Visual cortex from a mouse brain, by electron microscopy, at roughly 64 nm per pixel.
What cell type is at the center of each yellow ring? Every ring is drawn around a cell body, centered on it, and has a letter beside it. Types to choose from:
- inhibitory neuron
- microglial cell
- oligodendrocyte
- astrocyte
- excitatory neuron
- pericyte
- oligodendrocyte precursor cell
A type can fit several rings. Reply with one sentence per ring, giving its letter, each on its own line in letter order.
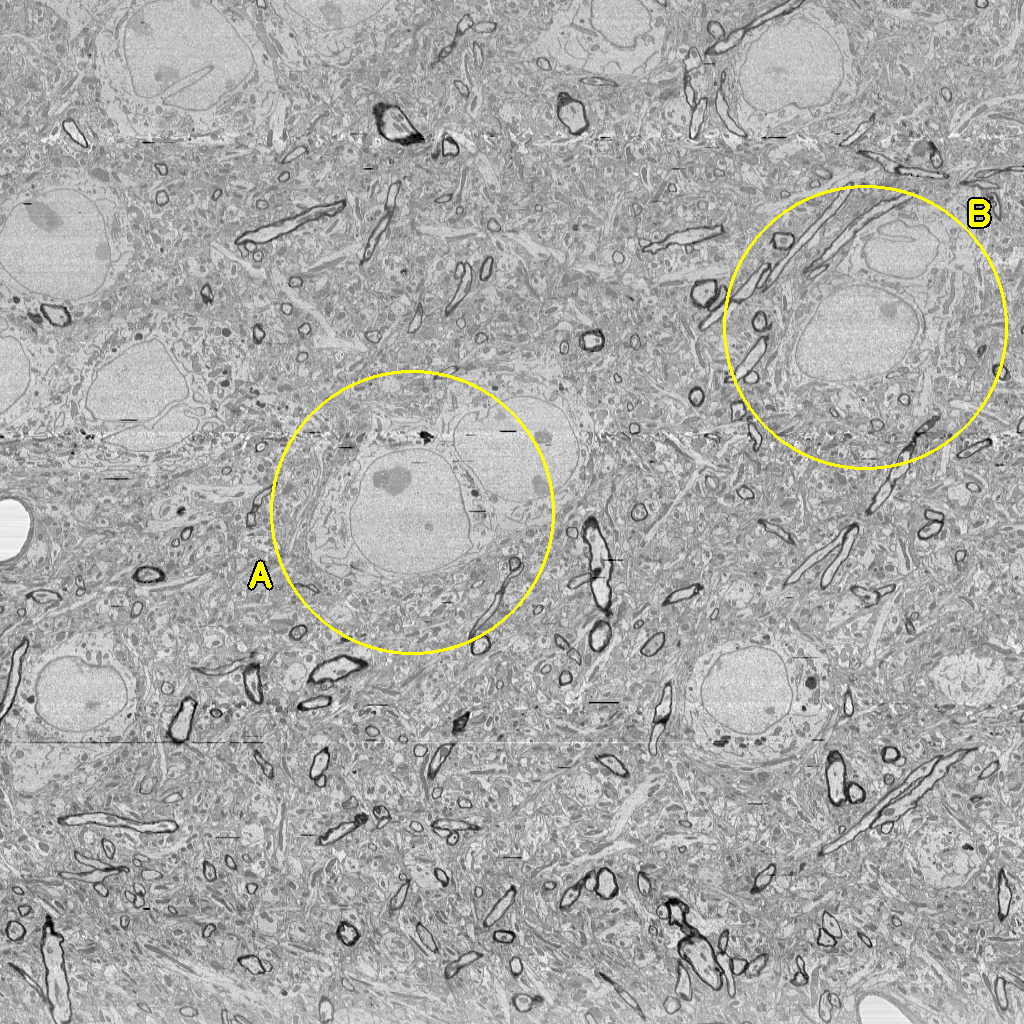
Ring A is placed around an excitatory neuron.
Ring B is placed around an astrocyte.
